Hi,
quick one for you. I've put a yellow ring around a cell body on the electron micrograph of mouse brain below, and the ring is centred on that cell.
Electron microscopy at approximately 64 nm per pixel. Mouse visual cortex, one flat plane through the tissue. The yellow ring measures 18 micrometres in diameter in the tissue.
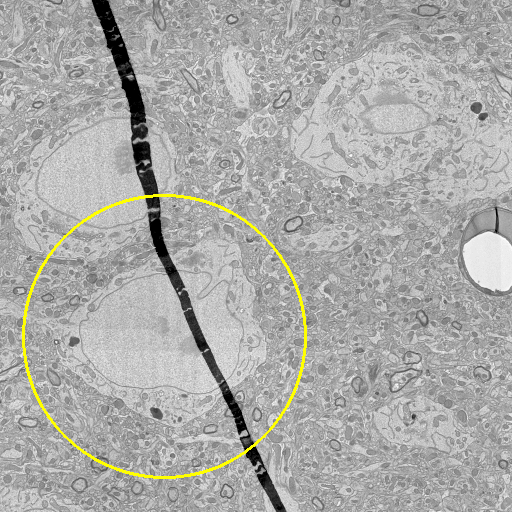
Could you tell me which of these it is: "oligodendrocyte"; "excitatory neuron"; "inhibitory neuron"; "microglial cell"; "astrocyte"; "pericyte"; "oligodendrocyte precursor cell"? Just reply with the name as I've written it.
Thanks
excitatory neuron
